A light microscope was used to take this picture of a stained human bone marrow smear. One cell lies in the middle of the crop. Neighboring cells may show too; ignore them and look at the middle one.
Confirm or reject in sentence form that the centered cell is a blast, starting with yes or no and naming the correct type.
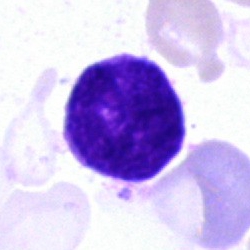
Yes, it is a blast that occupies the centre of the crop.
